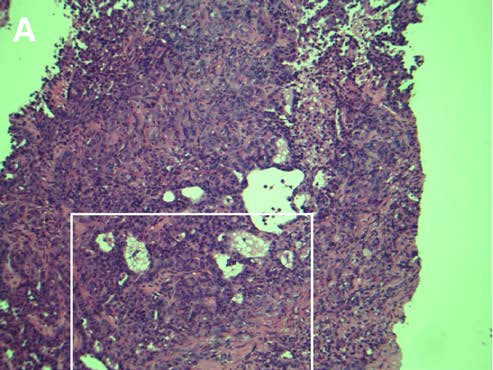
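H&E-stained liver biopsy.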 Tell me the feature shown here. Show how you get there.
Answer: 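Solid sheets of crowded cells over most of the tissue. Scattered round clear lumens lined by tumor cells in the middle and lower part. The answer: glandular association.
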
